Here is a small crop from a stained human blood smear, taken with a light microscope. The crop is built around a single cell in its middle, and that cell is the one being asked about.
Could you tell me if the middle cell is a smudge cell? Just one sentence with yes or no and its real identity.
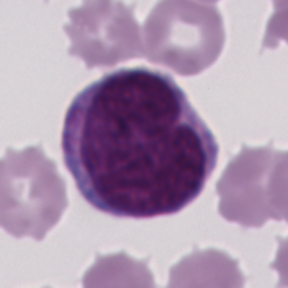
No, the central cell is not to be called a smudge cell, being a myeloblast.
